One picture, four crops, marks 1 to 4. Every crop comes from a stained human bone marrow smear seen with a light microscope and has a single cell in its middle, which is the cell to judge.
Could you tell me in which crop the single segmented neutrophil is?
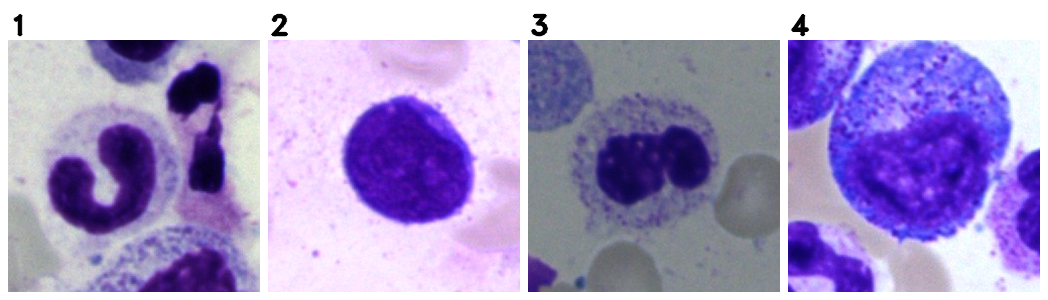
1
